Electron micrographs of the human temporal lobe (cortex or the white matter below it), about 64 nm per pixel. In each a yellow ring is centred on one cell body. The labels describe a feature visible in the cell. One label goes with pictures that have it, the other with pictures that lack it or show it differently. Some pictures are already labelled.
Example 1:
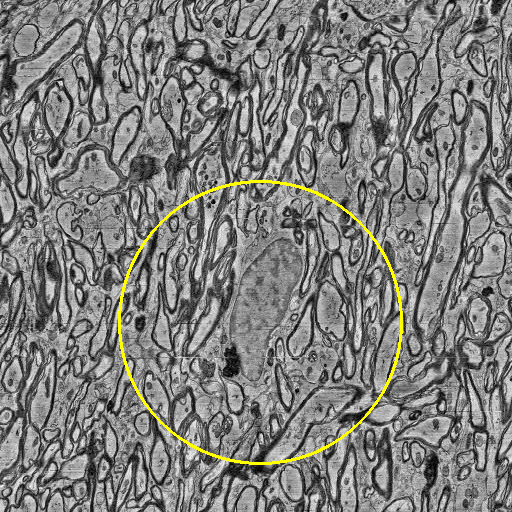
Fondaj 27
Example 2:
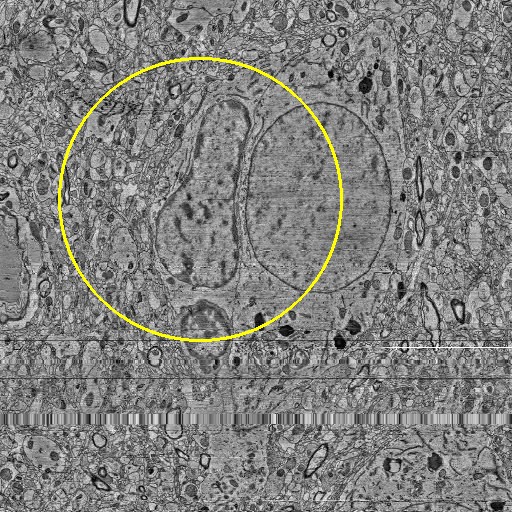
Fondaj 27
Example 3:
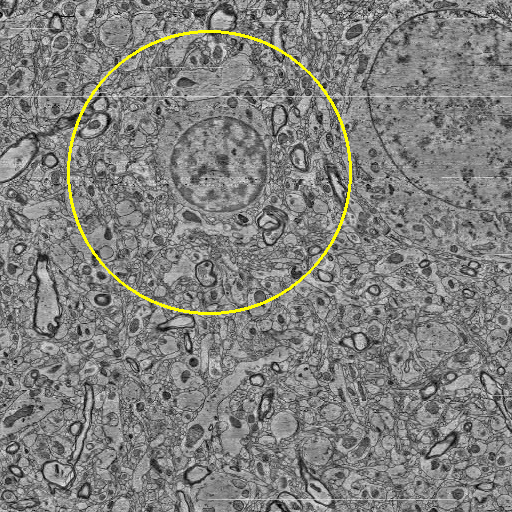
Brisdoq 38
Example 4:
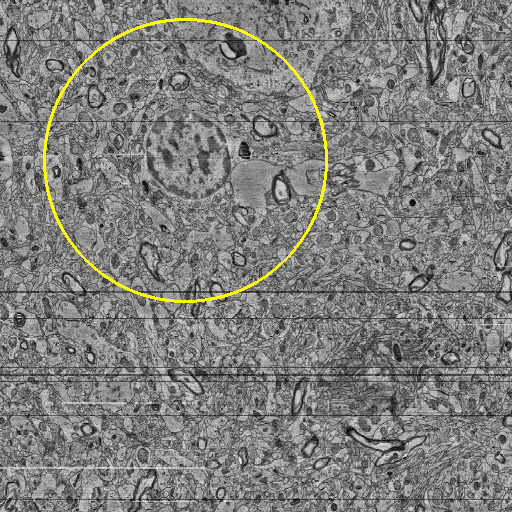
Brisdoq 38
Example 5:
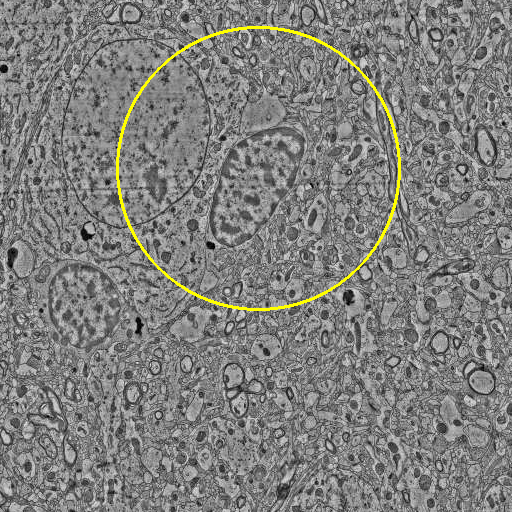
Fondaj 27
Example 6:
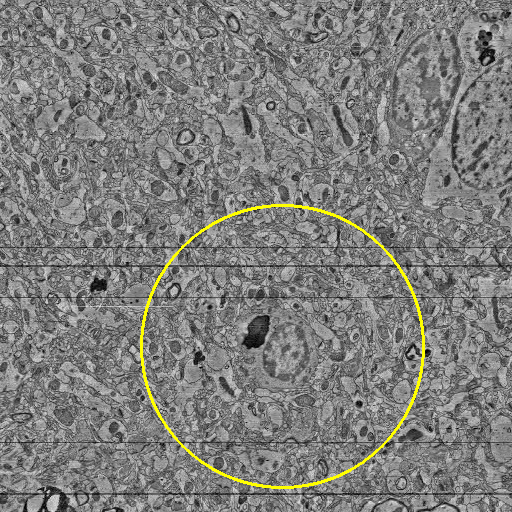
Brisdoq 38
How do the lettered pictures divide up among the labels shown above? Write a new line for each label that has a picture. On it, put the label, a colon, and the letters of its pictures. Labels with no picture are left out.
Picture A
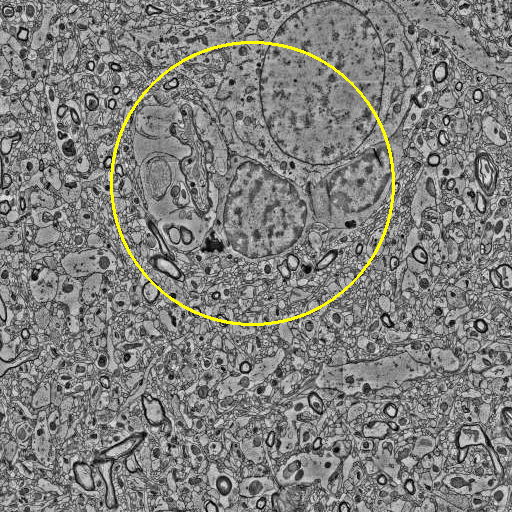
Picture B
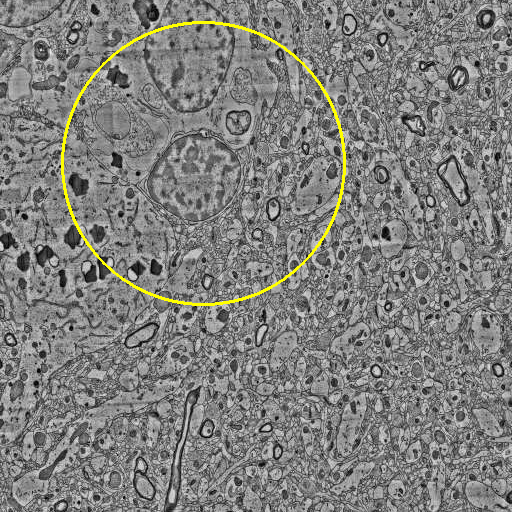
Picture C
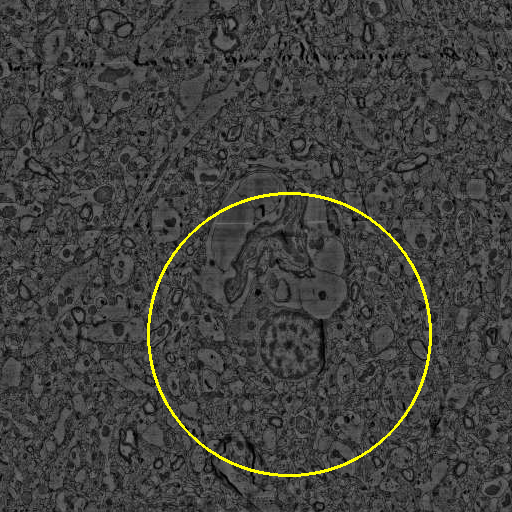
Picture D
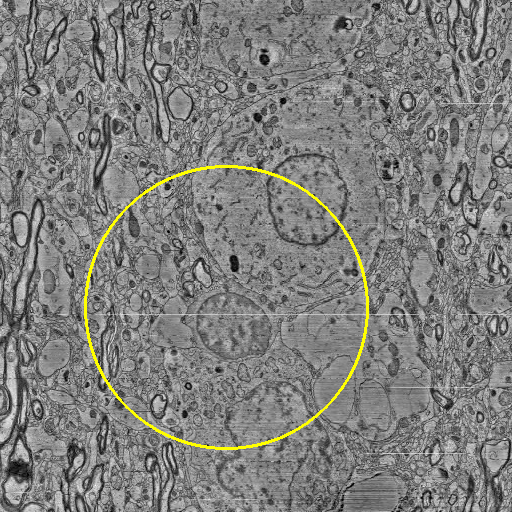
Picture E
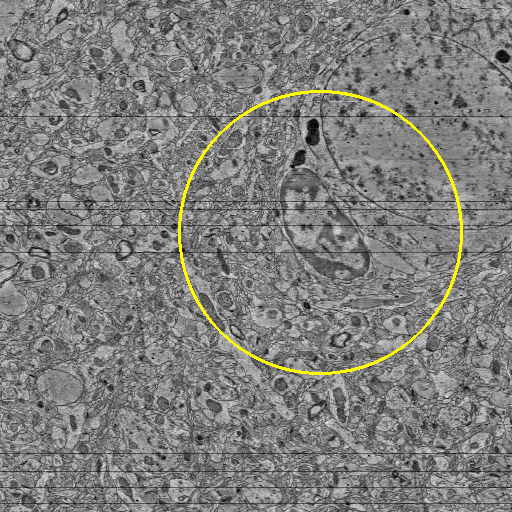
Fondaj 27: E
Brisdoq 38: A, B, C, D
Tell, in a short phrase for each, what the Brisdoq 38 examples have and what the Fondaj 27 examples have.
In Brisdoq 38: round or nearly round nuclei. In Fondaj 27: clearly elongated nuclei.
